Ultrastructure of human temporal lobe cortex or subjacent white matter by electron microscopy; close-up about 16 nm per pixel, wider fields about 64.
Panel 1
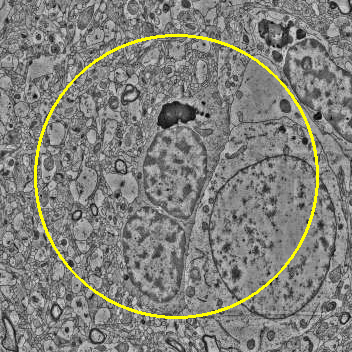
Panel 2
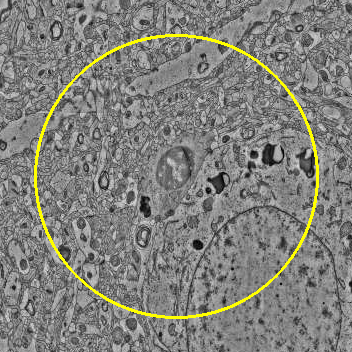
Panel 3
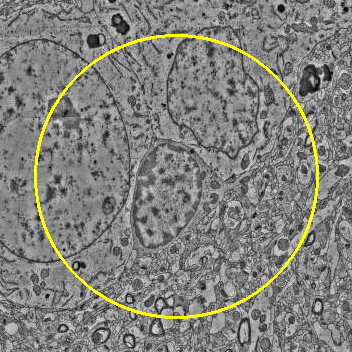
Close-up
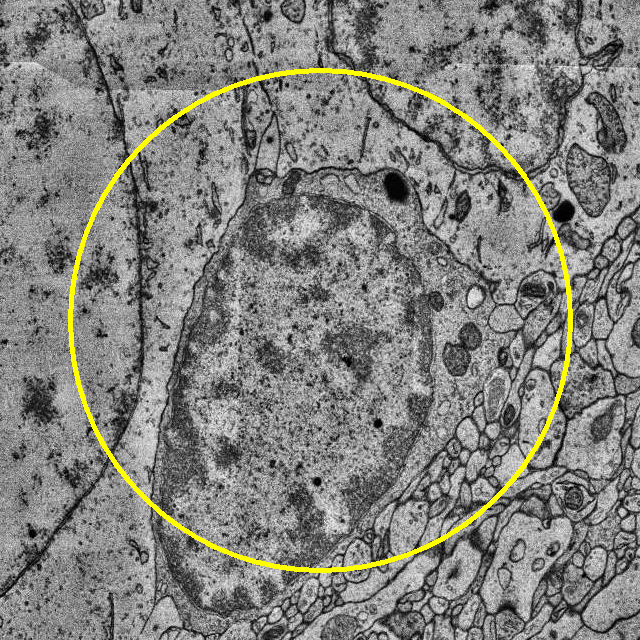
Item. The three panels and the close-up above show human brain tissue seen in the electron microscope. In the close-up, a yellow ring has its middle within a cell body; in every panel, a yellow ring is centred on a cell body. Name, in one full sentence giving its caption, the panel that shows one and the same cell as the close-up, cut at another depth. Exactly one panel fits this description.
The close-up depicts the ringed cell from Panel 3.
